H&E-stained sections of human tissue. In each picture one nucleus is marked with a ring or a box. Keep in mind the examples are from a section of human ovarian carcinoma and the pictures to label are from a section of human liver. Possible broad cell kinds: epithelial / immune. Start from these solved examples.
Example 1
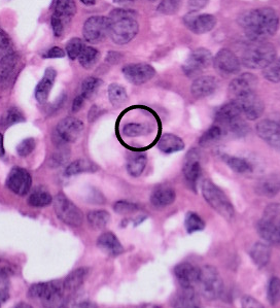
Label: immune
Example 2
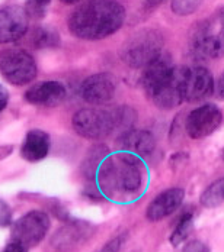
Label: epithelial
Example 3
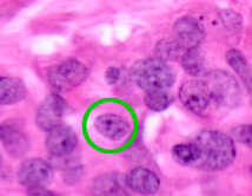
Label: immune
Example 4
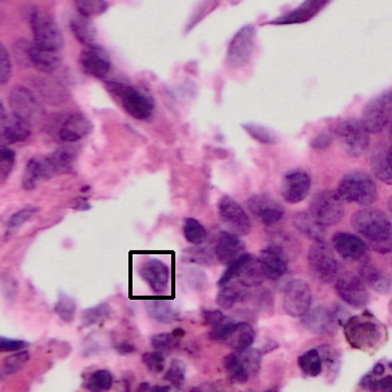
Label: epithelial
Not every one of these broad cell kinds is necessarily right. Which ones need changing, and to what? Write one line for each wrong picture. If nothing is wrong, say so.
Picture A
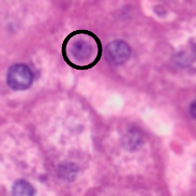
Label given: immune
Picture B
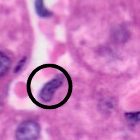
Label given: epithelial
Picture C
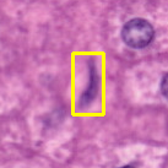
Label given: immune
A: change immune to epithelial
B: change epithelial to immune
